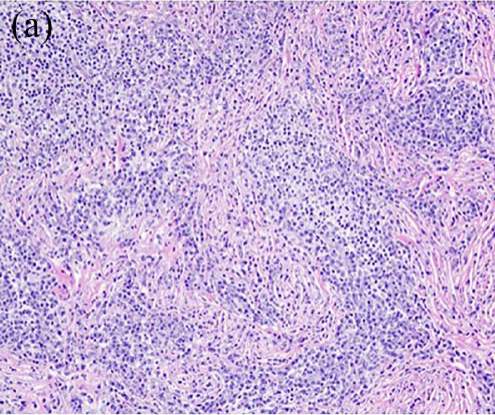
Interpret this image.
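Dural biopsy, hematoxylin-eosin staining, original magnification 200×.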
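The inflammatory cells are small and round with dark blue nuclei and lie packed together in sheets and nests. Between them run pale pink bundles of collagen fibres that curve and swirl around the cellular clusters. Together the dense cells and the winding fibres give the field a mottled, patchy pattern of blue and pink.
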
